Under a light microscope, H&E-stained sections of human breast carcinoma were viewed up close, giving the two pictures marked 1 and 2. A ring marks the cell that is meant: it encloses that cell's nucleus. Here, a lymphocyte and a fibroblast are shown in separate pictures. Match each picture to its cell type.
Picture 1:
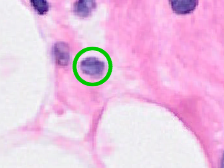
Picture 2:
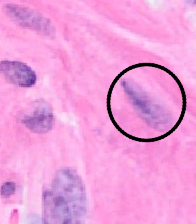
1: lymphocyte
2: fibroblast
